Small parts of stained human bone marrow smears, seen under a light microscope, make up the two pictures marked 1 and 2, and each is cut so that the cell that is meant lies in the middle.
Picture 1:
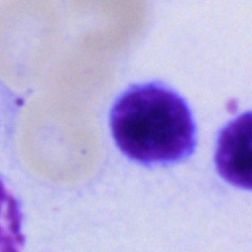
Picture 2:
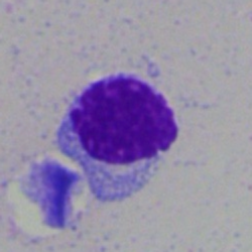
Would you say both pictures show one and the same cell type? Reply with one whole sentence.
Yes, both are lymphocytes.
